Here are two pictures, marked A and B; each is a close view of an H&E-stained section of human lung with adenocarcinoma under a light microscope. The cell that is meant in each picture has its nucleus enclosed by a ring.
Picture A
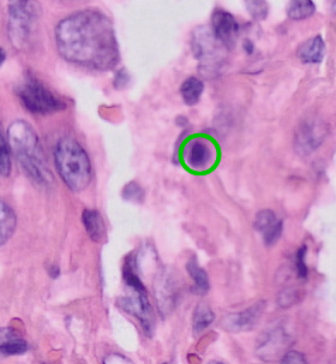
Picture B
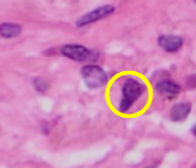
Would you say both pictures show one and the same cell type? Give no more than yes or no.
yes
